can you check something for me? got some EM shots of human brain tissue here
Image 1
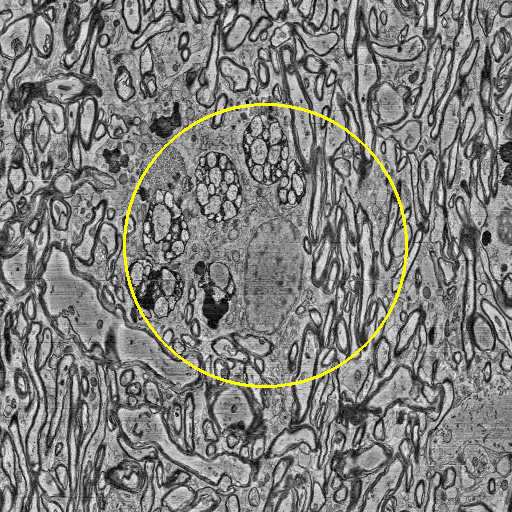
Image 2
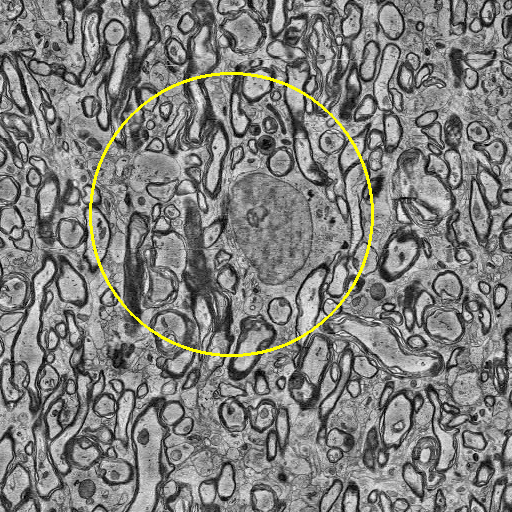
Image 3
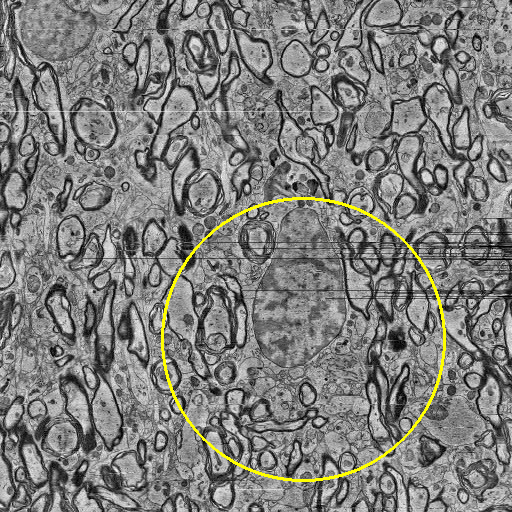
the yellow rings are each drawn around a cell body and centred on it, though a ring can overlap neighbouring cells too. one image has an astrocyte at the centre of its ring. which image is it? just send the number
1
